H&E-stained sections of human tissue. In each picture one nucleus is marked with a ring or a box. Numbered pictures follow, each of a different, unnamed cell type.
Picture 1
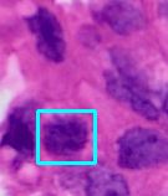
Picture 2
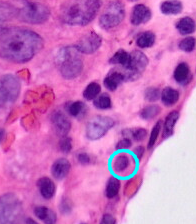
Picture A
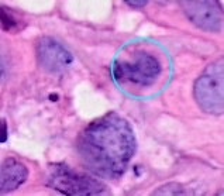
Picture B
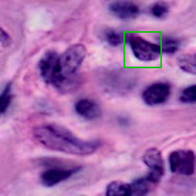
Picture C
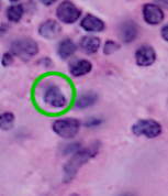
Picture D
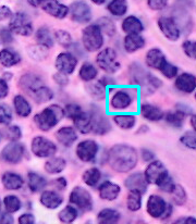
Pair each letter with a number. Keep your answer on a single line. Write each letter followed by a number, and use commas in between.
A 1, B 2, C 2, D 2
